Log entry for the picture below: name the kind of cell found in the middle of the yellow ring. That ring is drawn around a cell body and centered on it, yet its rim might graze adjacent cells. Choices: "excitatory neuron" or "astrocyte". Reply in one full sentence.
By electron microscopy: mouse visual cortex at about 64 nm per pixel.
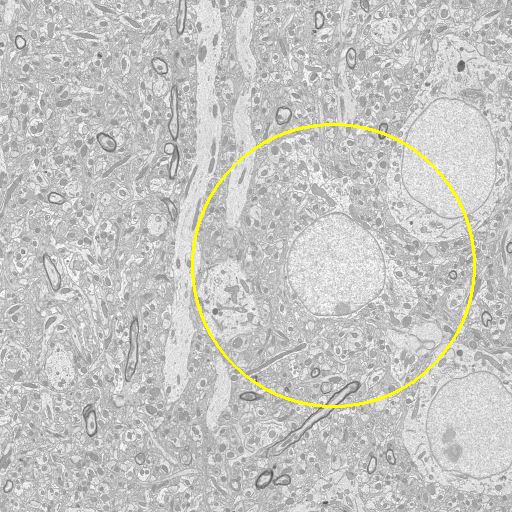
The cell in the middle of the yellow ring in this picture is an astrocyte.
